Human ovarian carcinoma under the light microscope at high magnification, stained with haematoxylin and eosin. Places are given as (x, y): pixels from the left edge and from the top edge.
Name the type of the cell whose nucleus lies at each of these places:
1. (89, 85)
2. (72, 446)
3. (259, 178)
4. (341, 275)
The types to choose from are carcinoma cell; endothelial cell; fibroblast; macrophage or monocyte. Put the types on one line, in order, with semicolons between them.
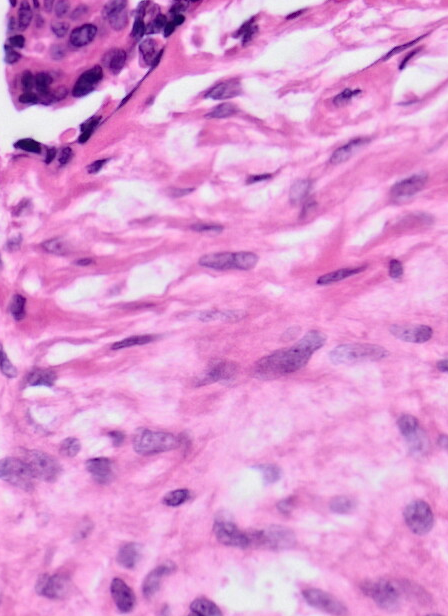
carcinoma cell; fibroblast; fibroblast; fibroblast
